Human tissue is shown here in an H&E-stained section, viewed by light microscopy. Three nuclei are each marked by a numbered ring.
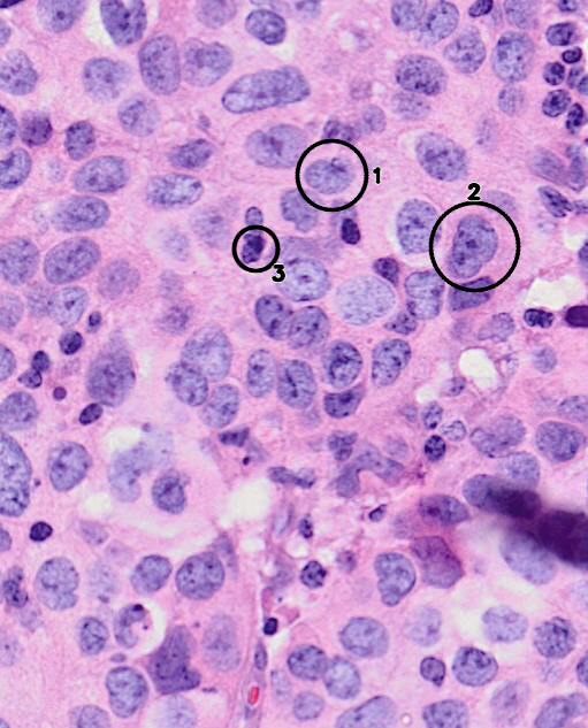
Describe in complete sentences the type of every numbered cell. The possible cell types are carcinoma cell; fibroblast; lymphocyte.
Cell 1 is a carcinoma cell, cell 2 is a carcinoma cell and cell 3 is a lymphocyte.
